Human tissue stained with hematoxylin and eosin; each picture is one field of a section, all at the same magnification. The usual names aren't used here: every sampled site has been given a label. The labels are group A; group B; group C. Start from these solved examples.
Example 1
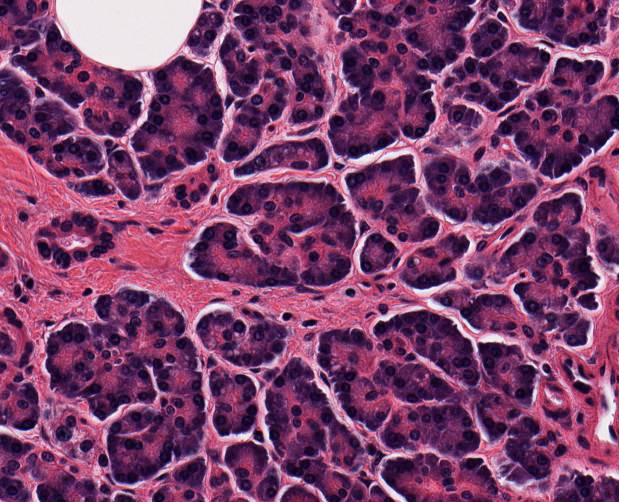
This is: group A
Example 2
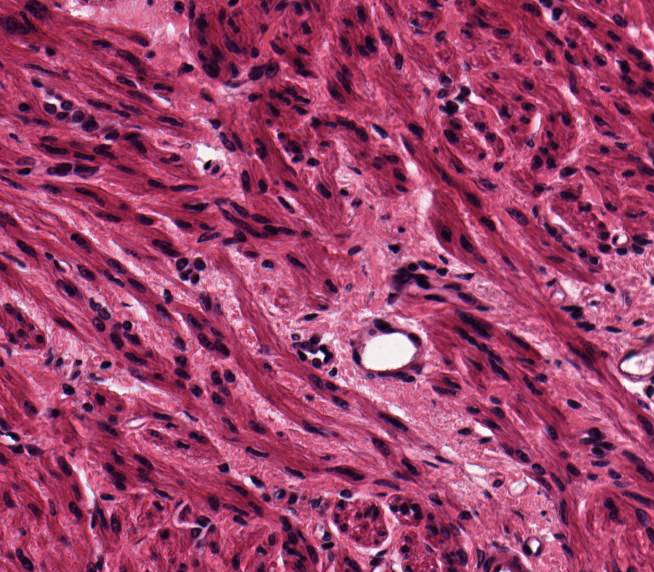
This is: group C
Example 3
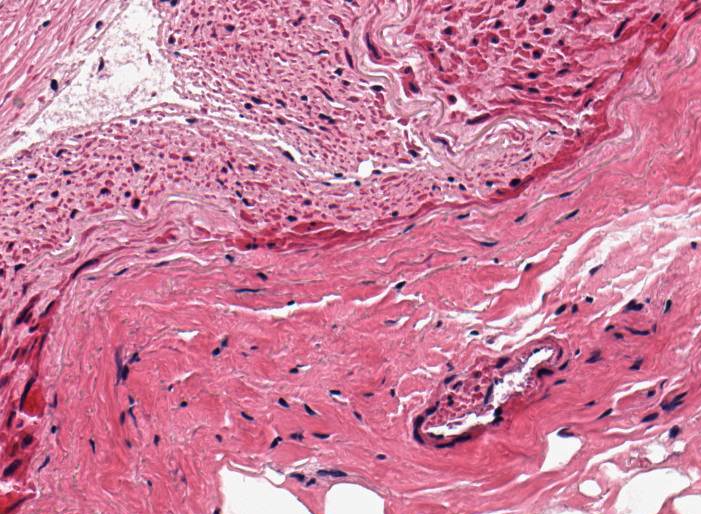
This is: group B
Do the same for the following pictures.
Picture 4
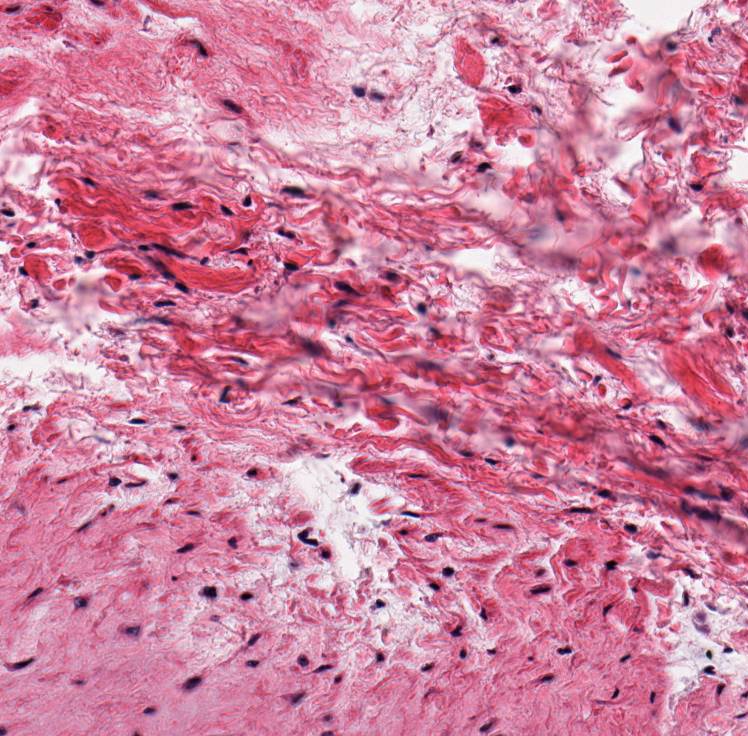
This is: group B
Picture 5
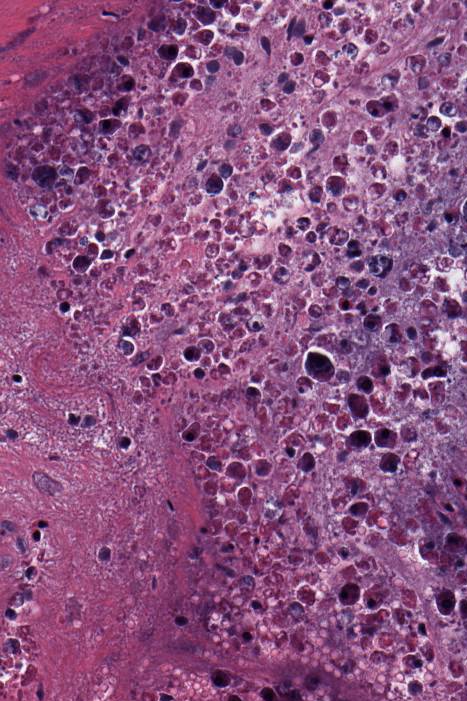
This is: group A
